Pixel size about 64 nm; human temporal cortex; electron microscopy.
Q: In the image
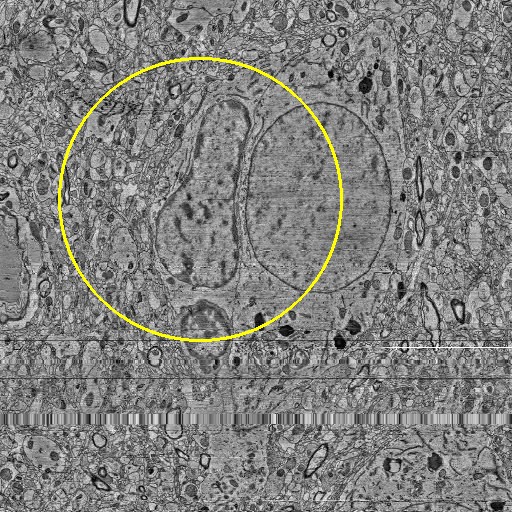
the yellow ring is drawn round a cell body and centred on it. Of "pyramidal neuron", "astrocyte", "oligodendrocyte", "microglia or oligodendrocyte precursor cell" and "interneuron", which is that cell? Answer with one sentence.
The cell centred in the ring is a microglial cell or oligodendrocyte precursor cell.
